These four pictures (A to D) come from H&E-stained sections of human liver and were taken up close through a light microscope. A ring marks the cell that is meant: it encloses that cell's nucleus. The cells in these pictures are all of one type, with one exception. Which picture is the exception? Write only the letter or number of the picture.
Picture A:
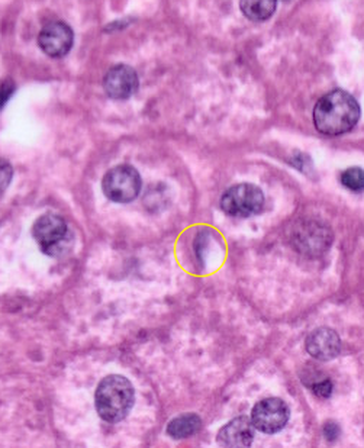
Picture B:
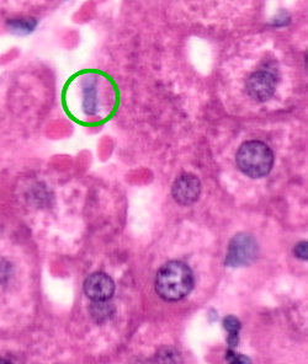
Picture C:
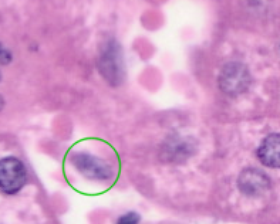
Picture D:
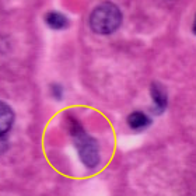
A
